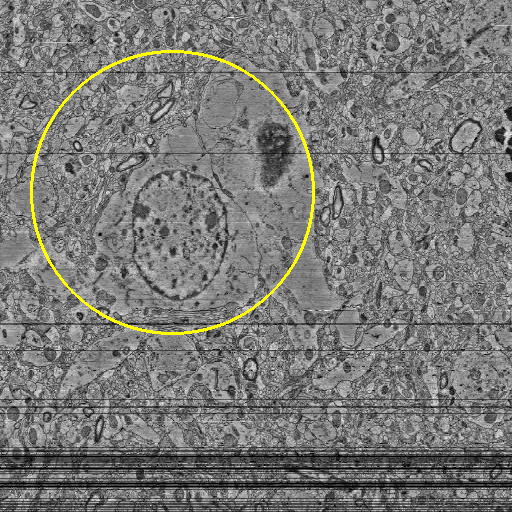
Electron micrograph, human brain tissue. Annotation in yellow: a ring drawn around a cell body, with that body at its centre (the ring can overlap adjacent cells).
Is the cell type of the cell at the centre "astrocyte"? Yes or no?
Yes, it is of that type.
